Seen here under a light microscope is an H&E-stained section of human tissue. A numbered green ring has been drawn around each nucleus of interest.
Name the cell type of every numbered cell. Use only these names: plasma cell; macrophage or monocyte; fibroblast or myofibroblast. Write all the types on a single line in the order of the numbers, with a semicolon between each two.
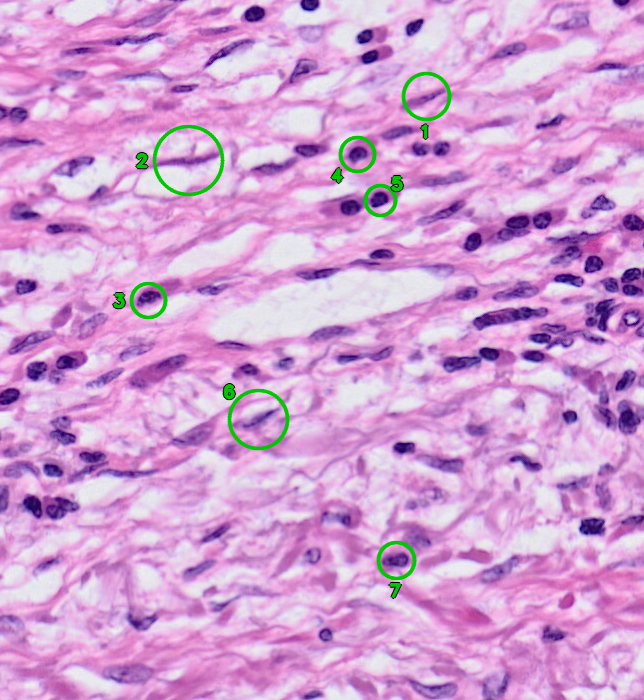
fibroblast or myofibroblast; fibroblast or myofibroblast; plasma cell; plasma cell; plasma cell; fibroblast or myofibroblast; macrophage or monocyte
